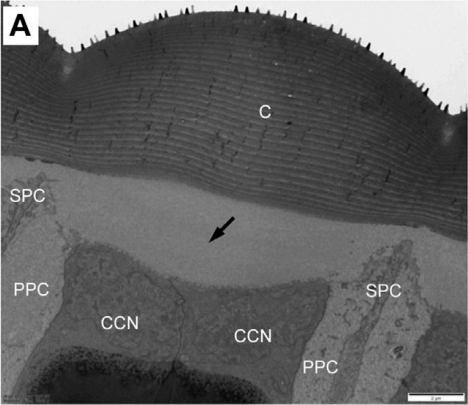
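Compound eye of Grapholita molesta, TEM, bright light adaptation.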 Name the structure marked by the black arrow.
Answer: Subcorneal layer.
